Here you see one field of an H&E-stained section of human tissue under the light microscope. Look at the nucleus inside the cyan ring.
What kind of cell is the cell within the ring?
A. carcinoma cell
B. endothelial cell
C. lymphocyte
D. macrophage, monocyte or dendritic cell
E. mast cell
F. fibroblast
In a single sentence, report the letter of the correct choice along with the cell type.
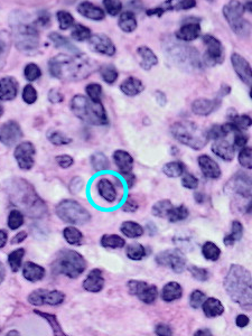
In this section the cell within the ring is a lymphocyte; option C is therefore correct.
